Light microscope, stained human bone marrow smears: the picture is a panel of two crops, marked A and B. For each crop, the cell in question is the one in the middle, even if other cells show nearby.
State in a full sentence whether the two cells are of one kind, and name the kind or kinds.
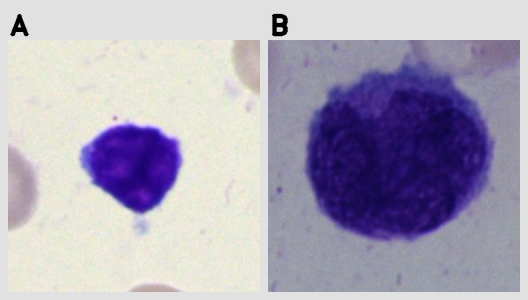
No, the cell in crop A is a lymphocyte, and the cell in crop B is a blast.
